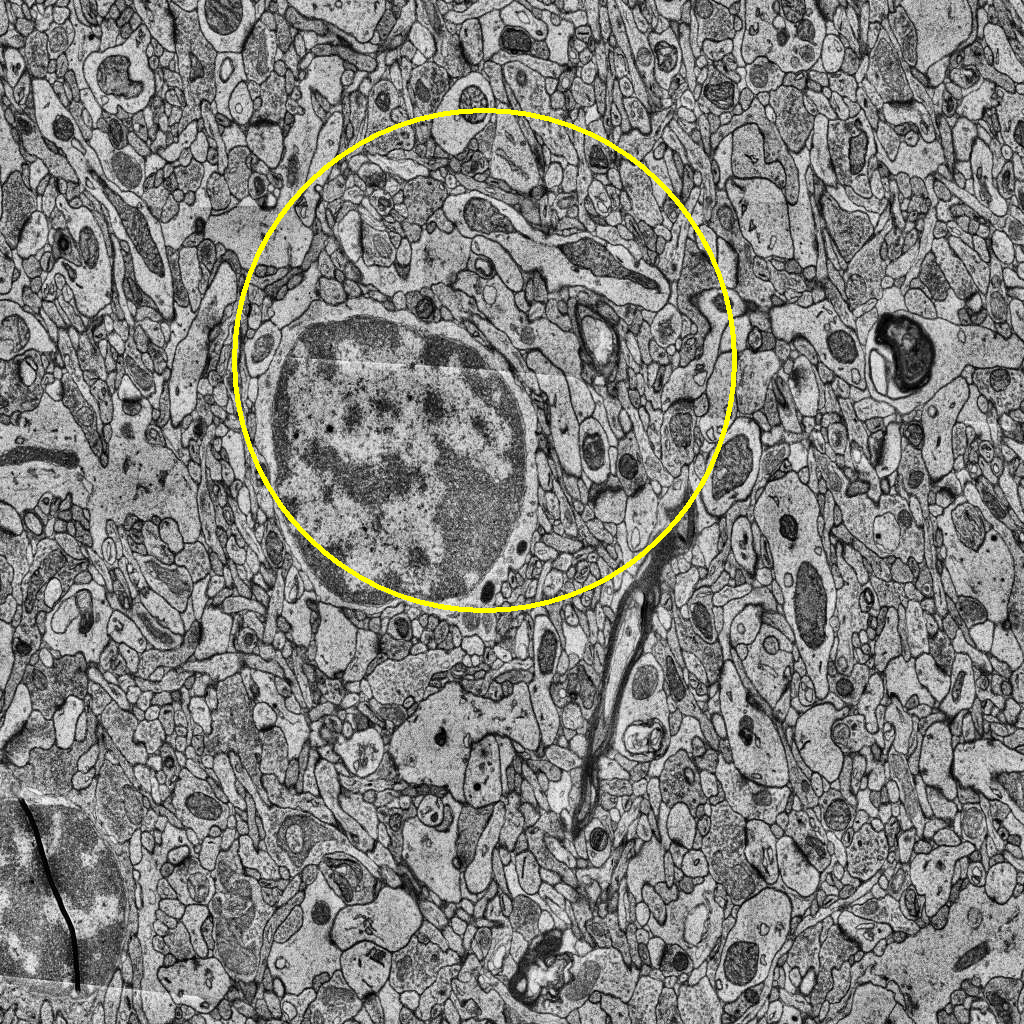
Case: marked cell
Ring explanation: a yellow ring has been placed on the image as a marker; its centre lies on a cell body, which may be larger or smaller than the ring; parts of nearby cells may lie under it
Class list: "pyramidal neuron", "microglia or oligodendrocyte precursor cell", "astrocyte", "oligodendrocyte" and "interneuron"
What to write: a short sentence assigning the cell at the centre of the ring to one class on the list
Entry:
The cell at the ring's centre is a microglial cell or oligodendrocyte precursor cell.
